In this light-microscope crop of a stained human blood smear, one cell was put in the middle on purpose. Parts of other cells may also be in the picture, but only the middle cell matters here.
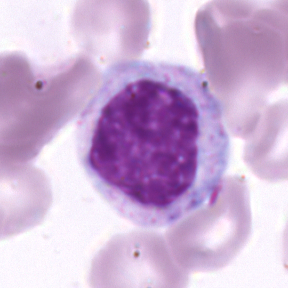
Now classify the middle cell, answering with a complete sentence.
The cell of interest, in the center, is a myelocyte.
